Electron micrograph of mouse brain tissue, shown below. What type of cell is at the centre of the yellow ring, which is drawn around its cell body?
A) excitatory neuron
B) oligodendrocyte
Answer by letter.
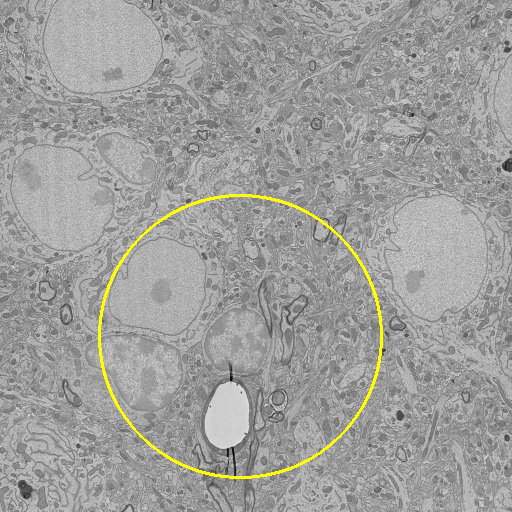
B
